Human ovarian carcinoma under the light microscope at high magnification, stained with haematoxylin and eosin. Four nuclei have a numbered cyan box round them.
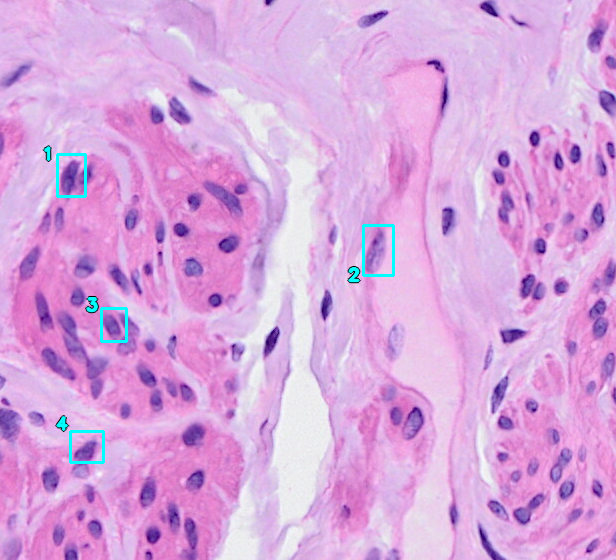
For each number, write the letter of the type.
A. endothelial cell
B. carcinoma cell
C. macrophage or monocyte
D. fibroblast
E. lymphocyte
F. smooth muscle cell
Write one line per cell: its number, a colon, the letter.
1: F
2: A
3: F
4: F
